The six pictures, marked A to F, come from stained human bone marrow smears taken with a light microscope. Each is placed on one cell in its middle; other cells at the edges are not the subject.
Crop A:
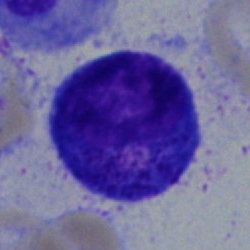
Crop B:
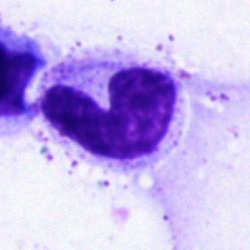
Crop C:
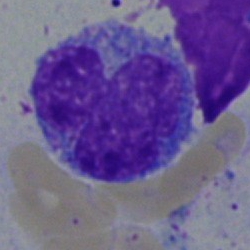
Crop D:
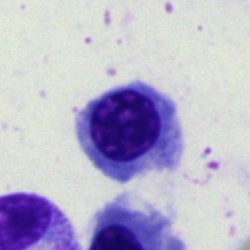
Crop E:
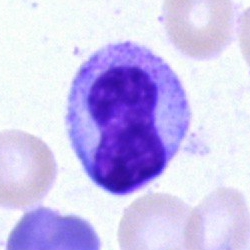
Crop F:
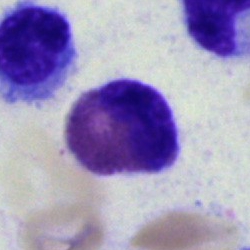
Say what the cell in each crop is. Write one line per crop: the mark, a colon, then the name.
A: promyelocyte
B: band neutrophil
C: monocyte
D: normoblast
E: metamyelocyte
F: basophil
